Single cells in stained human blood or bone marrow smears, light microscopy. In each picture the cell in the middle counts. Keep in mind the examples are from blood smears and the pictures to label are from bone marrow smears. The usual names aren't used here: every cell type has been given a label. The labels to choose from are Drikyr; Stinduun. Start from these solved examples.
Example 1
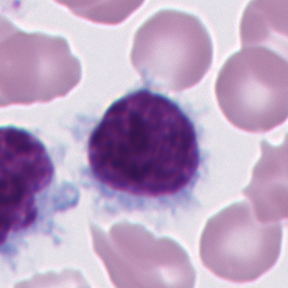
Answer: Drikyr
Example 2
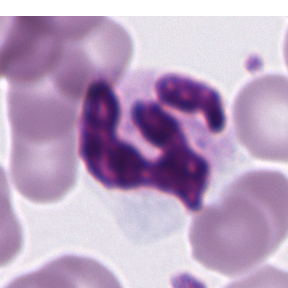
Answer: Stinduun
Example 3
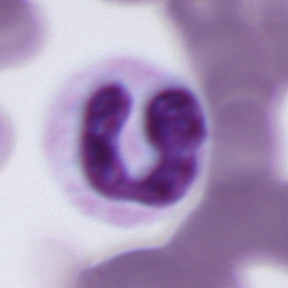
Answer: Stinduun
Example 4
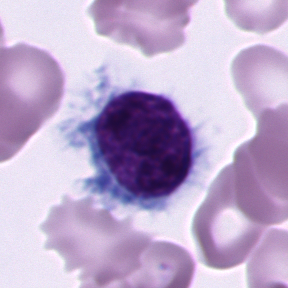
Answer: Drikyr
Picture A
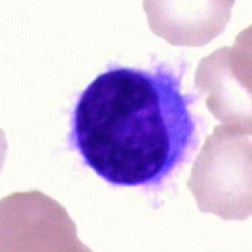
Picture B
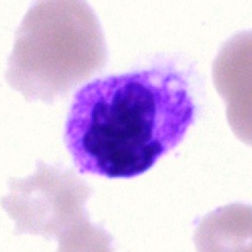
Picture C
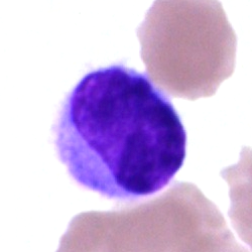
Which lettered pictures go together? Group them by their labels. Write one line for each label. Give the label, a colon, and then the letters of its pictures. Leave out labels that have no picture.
Drikyr: A, C
Stinduun: B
